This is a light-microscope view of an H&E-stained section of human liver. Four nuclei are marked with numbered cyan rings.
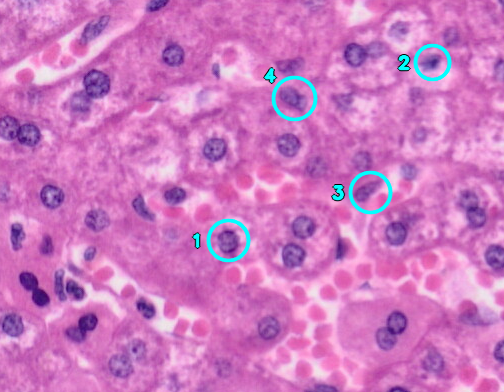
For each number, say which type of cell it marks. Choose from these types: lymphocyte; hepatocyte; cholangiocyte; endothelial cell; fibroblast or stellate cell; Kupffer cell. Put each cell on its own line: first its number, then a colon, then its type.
1: hepatocyte
2: endothelial cell
3: Kupffer cell
4: fibroblast or stellate cell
